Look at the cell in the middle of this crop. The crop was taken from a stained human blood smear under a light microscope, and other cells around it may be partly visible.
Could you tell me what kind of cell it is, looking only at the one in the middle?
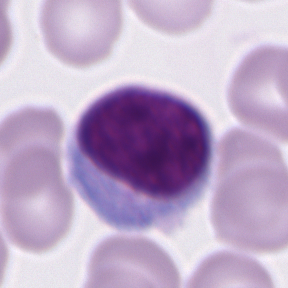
lymphocyte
